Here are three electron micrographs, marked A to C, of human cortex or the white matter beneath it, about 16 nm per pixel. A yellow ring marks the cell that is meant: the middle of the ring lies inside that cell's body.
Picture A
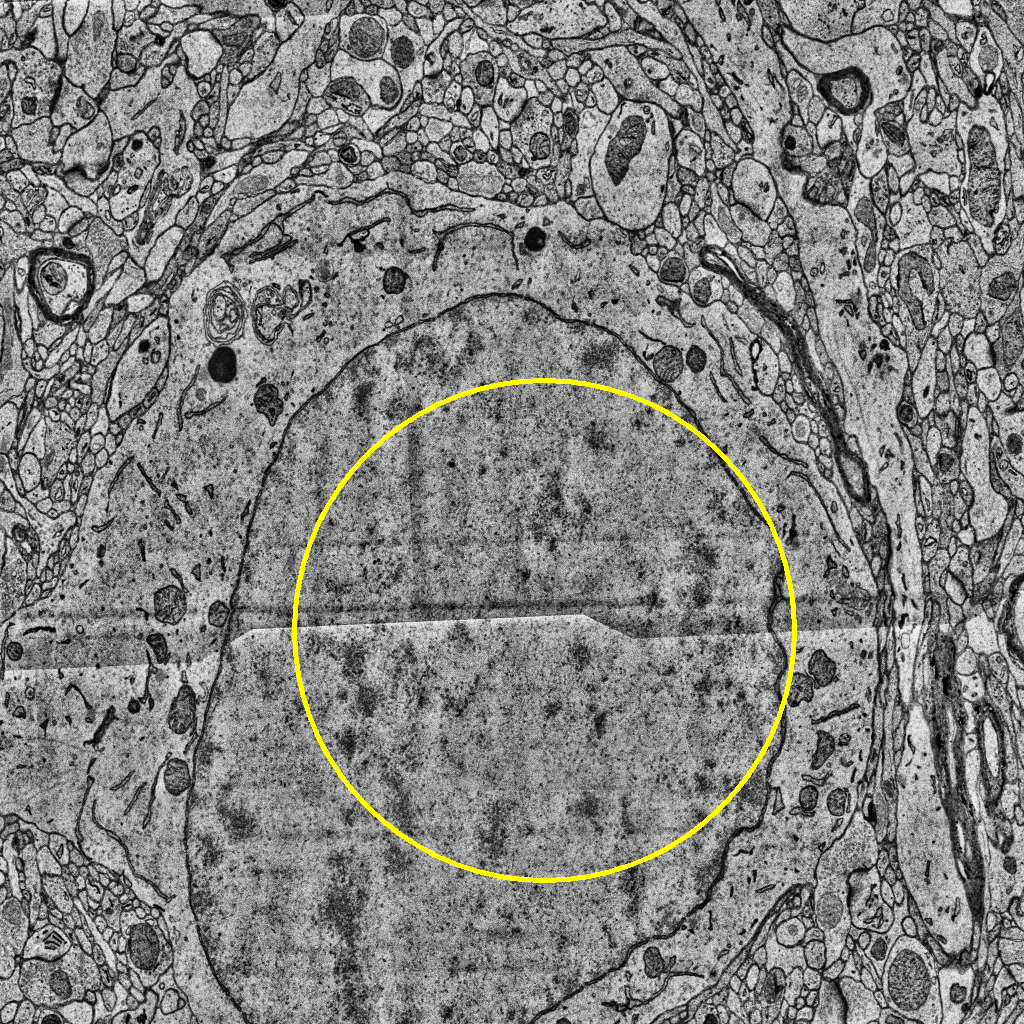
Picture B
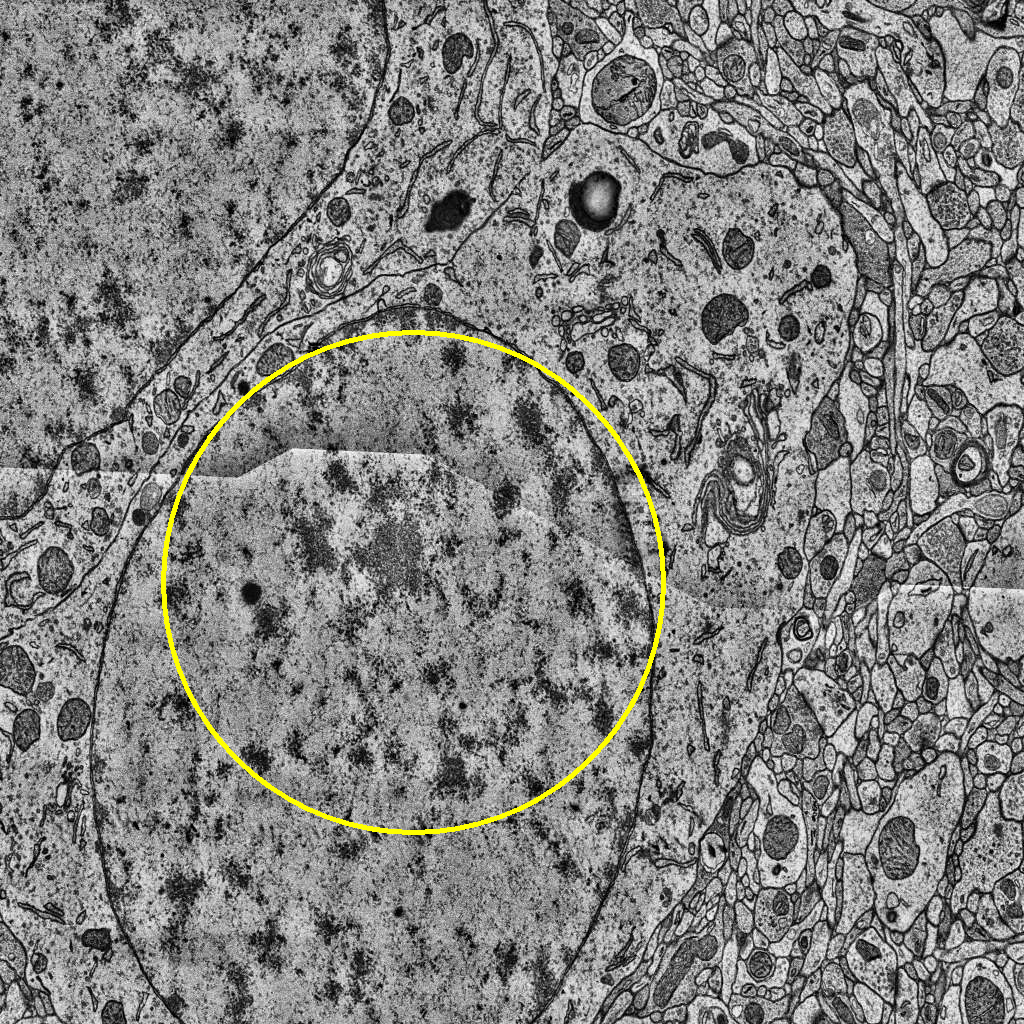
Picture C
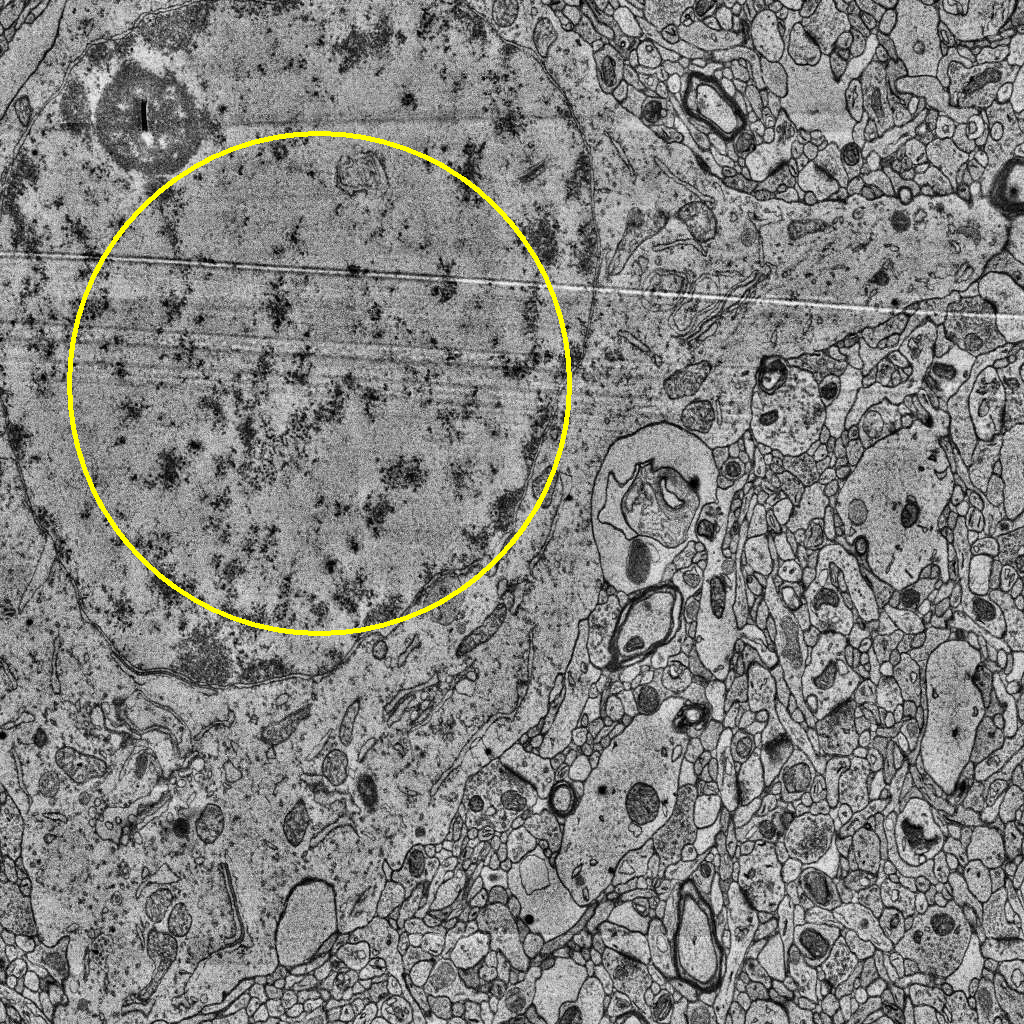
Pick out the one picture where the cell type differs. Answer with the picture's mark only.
C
